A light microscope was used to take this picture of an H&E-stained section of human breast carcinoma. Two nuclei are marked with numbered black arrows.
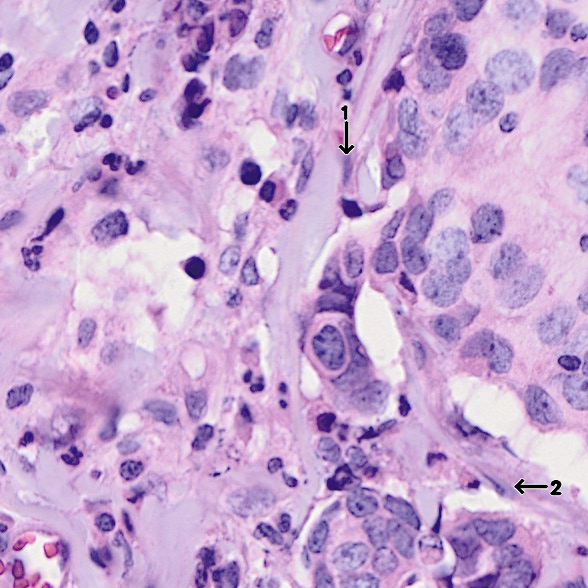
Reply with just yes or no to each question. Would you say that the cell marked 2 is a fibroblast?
yes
